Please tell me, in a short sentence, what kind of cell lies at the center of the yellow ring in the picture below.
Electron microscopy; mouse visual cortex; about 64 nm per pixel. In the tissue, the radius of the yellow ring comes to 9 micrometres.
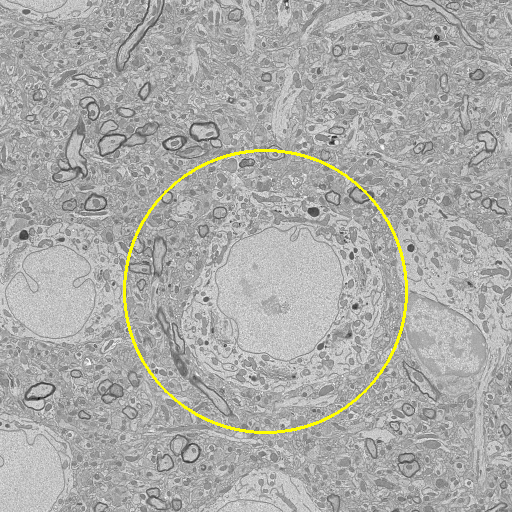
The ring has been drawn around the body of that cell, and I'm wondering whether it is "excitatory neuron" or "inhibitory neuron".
The cell at the center of the ring is an inhibitory neuron.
